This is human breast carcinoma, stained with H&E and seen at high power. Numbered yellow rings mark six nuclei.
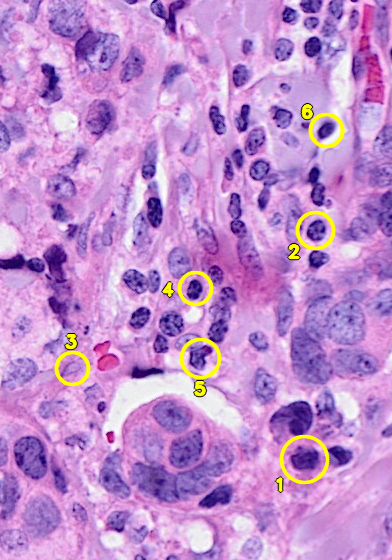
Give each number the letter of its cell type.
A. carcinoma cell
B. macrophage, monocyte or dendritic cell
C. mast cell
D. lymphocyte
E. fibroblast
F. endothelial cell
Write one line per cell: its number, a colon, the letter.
1: A
2: D
3: F
4: D
5: D
6: D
